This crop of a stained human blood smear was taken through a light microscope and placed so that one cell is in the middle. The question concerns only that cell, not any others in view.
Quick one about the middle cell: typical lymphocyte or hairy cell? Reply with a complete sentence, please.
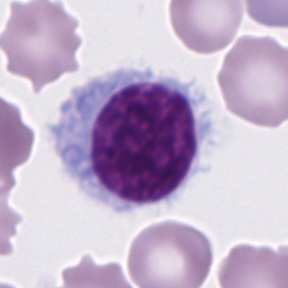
Whatever else lies nearby, the middle cell is a hairy cell.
